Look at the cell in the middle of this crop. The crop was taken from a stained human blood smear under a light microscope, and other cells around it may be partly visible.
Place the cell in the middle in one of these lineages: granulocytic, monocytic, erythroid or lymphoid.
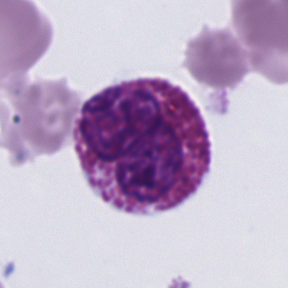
granulocytic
